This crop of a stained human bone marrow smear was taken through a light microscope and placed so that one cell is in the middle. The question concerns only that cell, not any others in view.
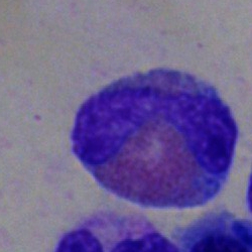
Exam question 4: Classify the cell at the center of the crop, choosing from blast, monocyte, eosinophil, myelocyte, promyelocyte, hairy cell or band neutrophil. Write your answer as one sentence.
The cell at the middle of the frame should be recorded as an eosinophil.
